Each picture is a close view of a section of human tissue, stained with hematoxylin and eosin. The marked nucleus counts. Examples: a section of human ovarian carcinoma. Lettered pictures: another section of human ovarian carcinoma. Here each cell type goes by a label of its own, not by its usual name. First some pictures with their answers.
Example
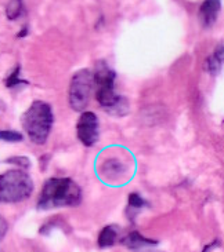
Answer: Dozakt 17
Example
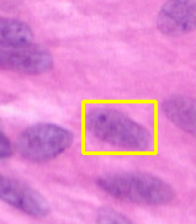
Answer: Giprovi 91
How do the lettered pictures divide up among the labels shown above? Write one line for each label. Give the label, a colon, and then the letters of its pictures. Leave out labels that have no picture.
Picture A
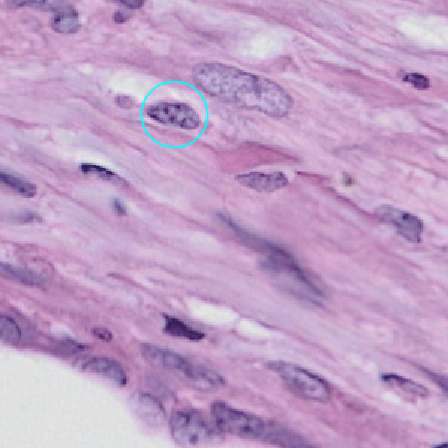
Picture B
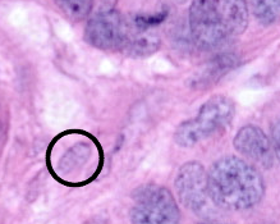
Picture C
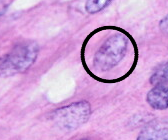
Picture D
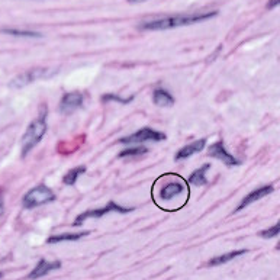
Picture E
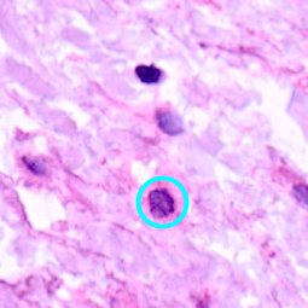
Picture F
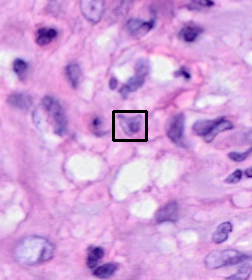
Dozakt 17: A, D, E, F
Giprovi 91: B, C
